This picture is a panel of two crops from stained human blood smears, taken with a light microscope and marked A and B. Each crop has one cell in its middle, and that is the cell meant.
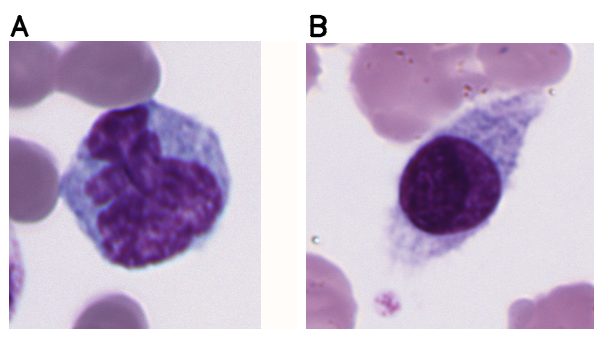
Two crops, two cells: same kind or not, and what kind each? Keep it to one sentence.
No, crop A should be called a monocyte, and crop B should be called a hairy cell.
